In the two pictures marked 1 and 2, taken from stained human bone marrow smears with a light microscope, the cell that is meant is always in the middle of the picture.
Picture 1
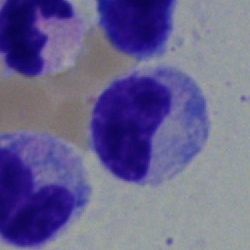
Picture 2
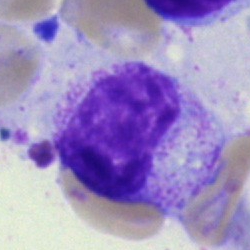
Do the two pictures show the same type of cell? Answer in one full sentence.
Yes, the two pictures both show metamyelocytes.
